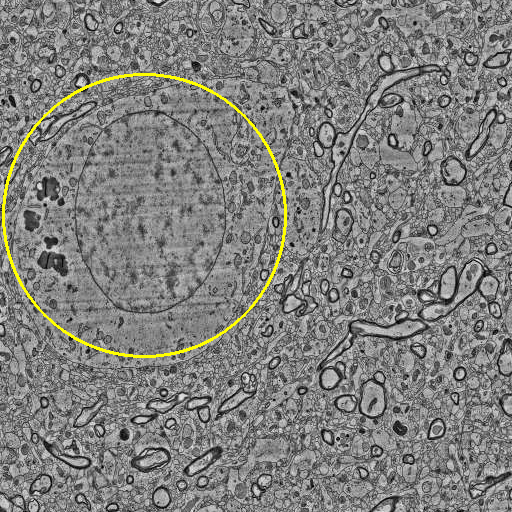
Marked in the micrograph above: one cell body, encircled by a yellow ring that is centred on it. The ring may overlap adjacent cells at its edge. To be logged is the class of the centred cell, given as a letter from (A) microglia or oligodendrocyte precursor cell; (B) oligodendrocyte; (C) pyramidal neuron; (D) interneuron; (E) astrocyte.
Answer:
C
